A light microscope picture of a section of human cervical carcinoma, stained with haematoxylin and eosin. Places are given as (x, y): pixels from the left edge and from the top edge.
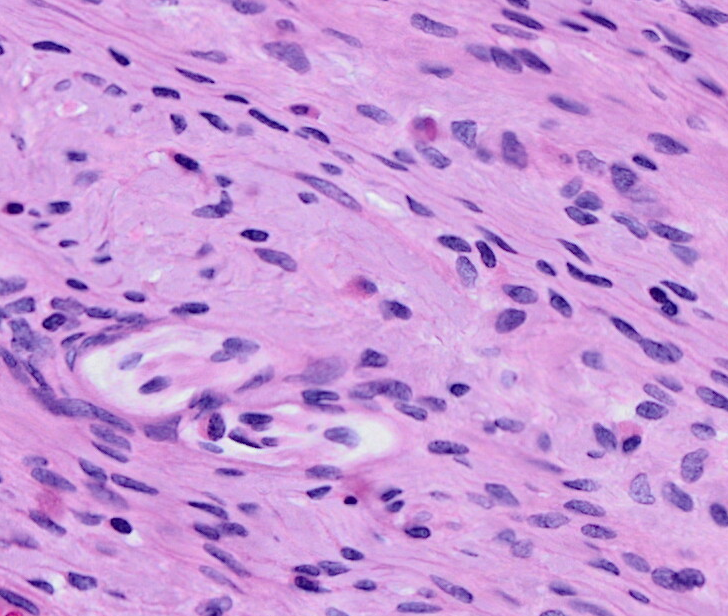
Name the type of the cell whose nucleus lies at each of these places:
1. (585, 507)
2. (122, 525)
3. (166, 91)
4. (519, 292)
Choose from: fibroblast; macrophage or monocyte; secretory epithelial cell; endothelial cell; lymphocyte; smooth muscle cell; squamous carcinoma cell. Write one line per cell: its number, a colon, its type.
1: fibroblast
2: lymphocyte
3: fibroblast
4: fibroblast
